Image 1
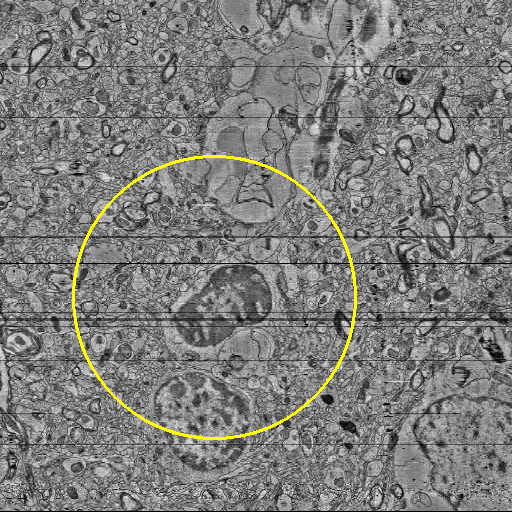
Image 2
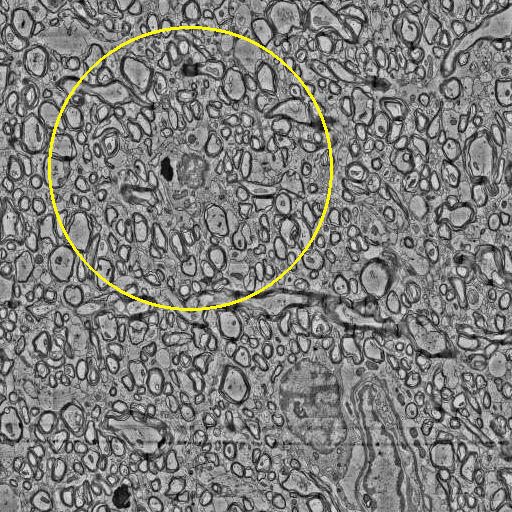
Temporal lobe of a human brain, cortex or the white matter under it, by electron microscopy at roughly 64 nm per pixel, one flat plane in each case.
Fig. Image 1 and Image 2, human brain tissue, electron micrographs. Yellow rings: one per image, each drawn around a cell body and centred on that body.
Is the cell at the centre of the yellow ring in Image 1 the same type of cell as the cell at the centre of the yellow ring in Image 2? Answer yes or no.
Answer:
no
